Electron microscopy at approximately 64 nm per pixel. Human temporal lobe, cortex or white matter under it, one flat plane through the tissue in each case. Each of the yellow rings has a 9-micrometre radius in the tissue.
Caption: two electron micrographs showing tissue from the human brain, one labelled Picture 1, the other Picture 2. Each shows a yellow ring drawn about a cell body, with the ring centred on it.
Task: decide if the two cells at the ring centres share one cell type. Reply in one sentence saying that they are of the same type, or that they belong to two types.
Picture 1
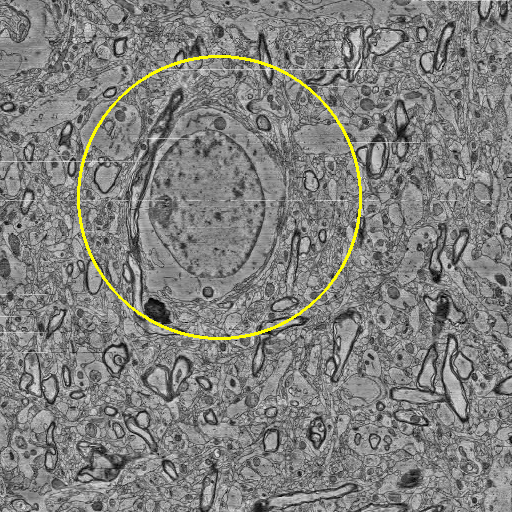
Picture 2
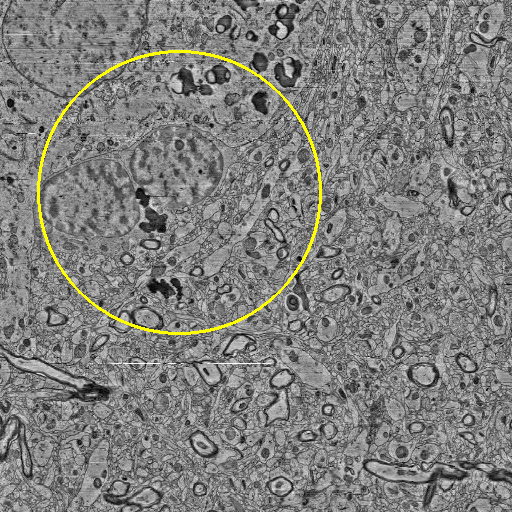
The cells at the ring centres in Picture 1 and Picture 2 belong to two types.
